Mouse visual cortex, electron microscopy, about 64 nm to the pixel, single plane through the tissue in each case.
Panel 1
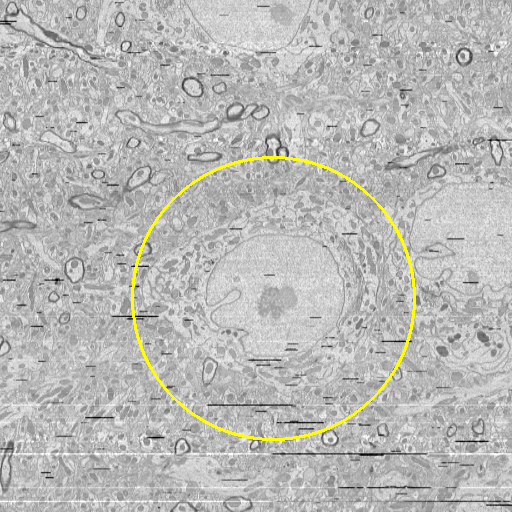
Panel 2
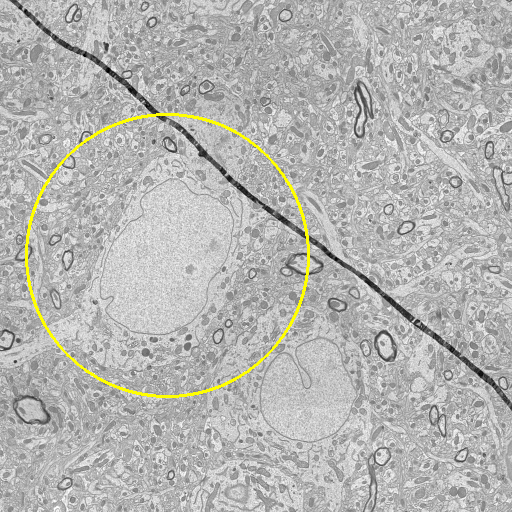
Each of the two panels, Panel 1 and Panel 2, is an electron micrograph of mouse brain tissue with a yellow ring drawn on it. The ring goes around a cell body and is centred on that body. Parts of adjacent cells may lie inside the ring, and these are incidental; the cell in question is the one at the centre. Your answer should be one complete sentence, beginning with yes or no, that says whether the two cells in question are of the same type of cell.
No, the two cells are of two types.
